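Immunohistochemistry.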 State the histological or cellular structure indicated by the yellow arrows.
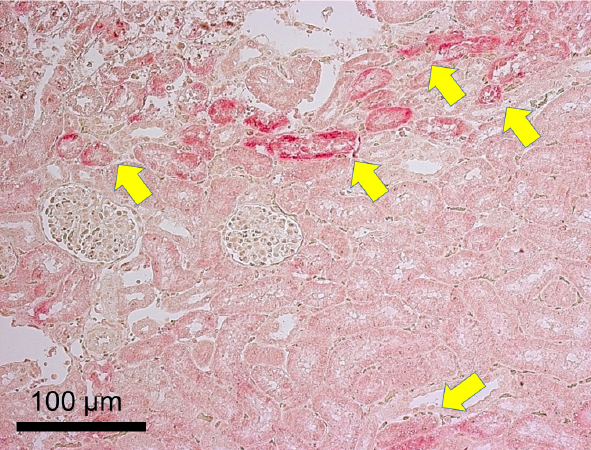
Kidney tubules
